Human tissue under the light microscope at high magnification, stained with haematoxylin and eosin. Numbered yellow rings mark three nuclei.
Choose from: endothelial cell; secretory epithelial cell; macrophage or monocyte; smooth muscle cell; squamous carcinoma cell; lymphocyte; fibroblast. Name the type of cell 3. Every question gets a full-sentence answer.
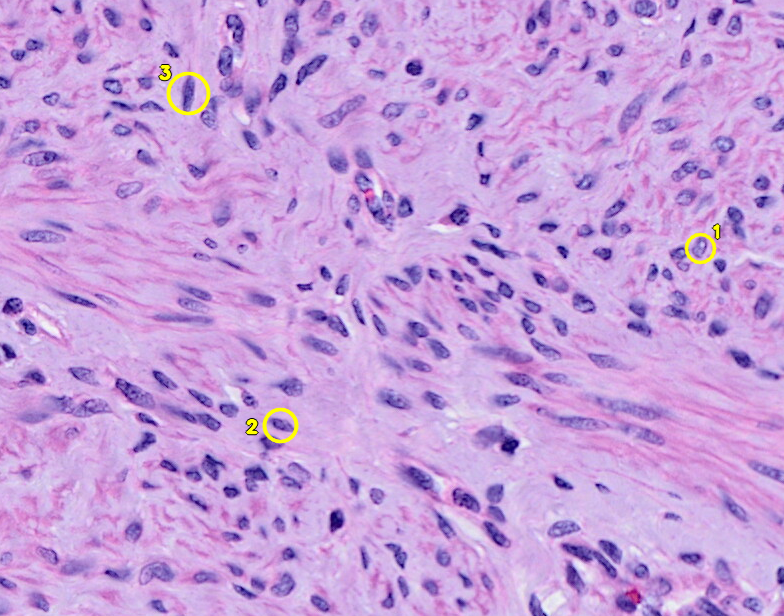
Nucleus 3 in this section belongs to a fibroblast.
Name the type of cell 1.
At number 1, the marked cell is a smooth muscle cell.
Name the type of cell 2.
The cell given label 2 is a fibroblast.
